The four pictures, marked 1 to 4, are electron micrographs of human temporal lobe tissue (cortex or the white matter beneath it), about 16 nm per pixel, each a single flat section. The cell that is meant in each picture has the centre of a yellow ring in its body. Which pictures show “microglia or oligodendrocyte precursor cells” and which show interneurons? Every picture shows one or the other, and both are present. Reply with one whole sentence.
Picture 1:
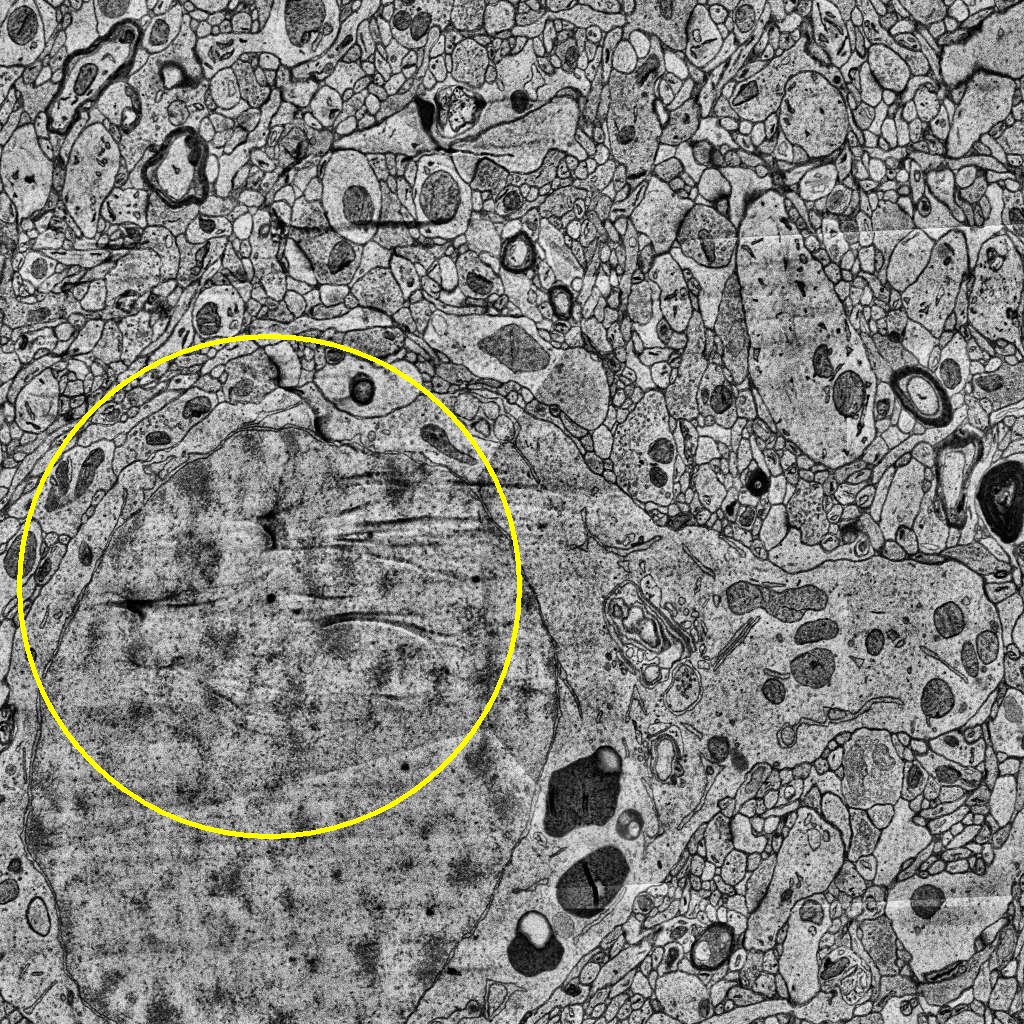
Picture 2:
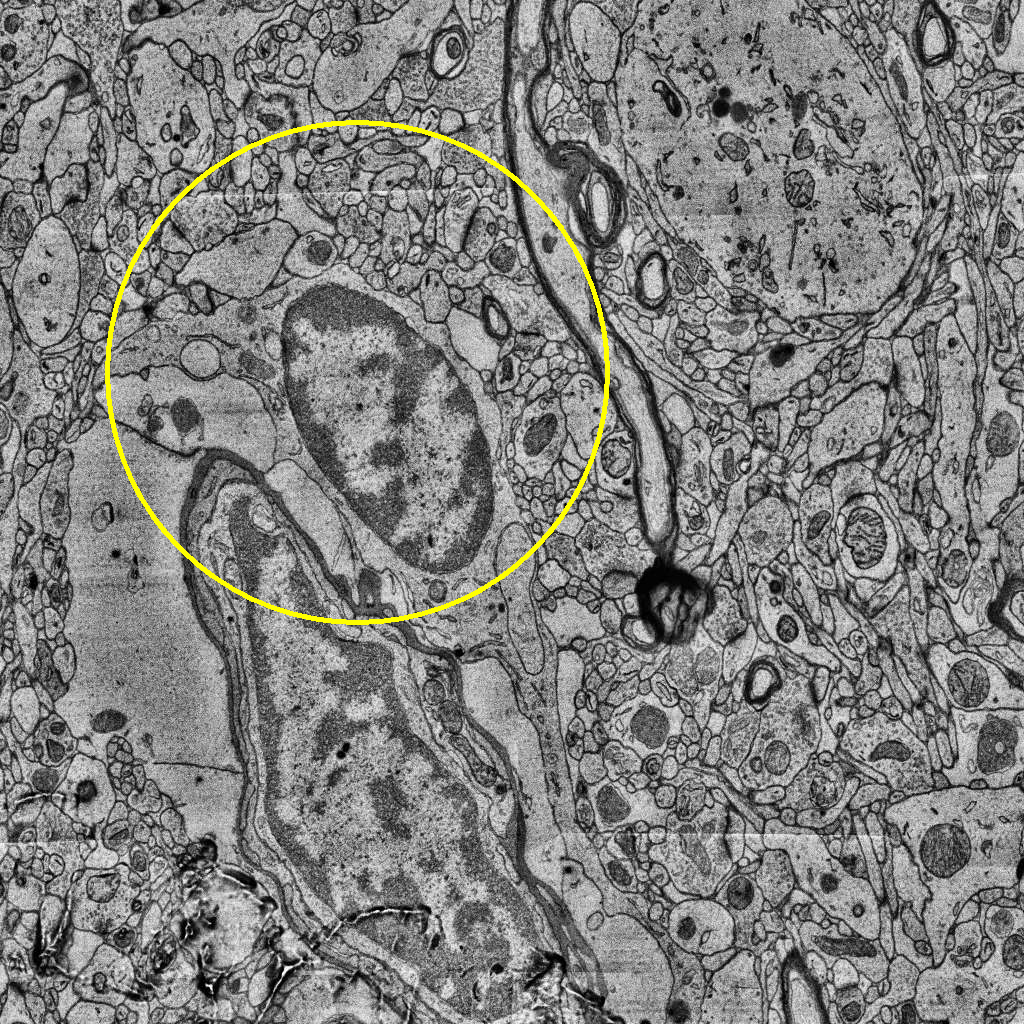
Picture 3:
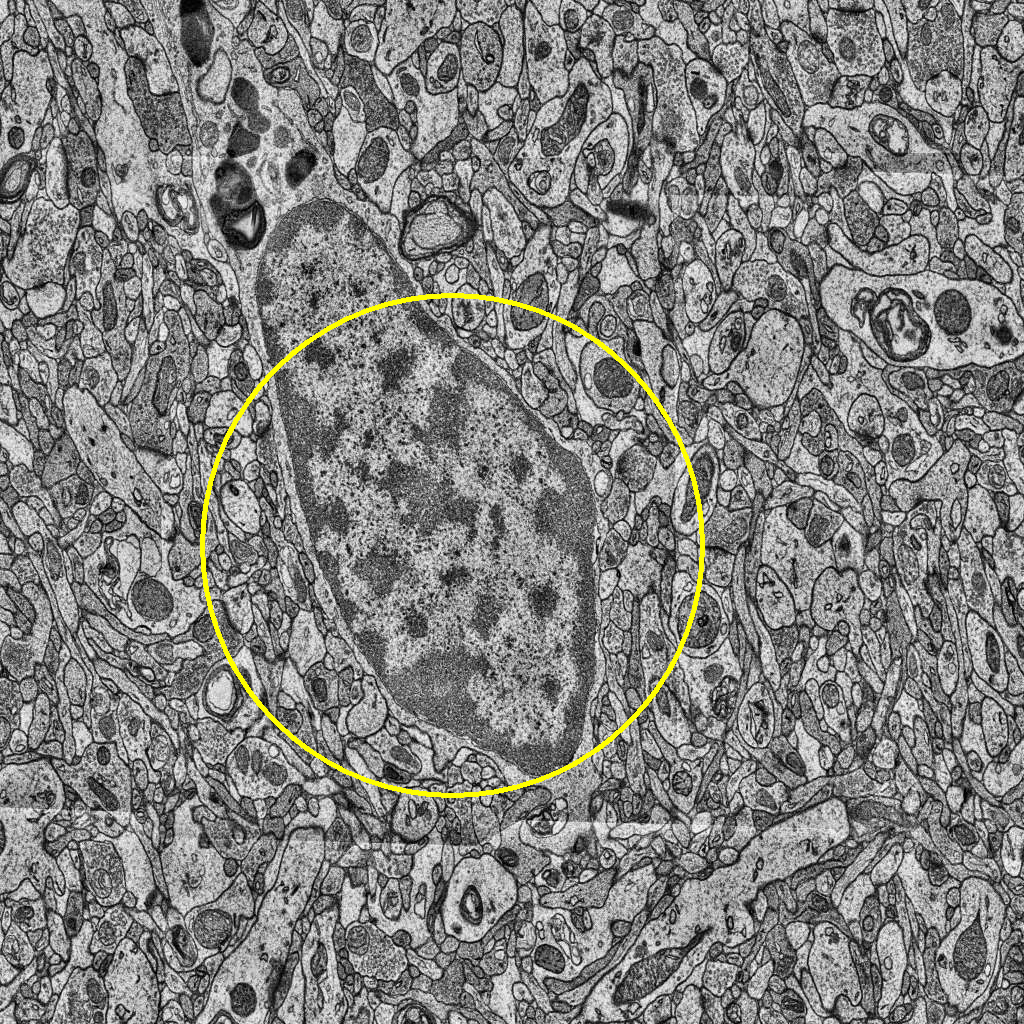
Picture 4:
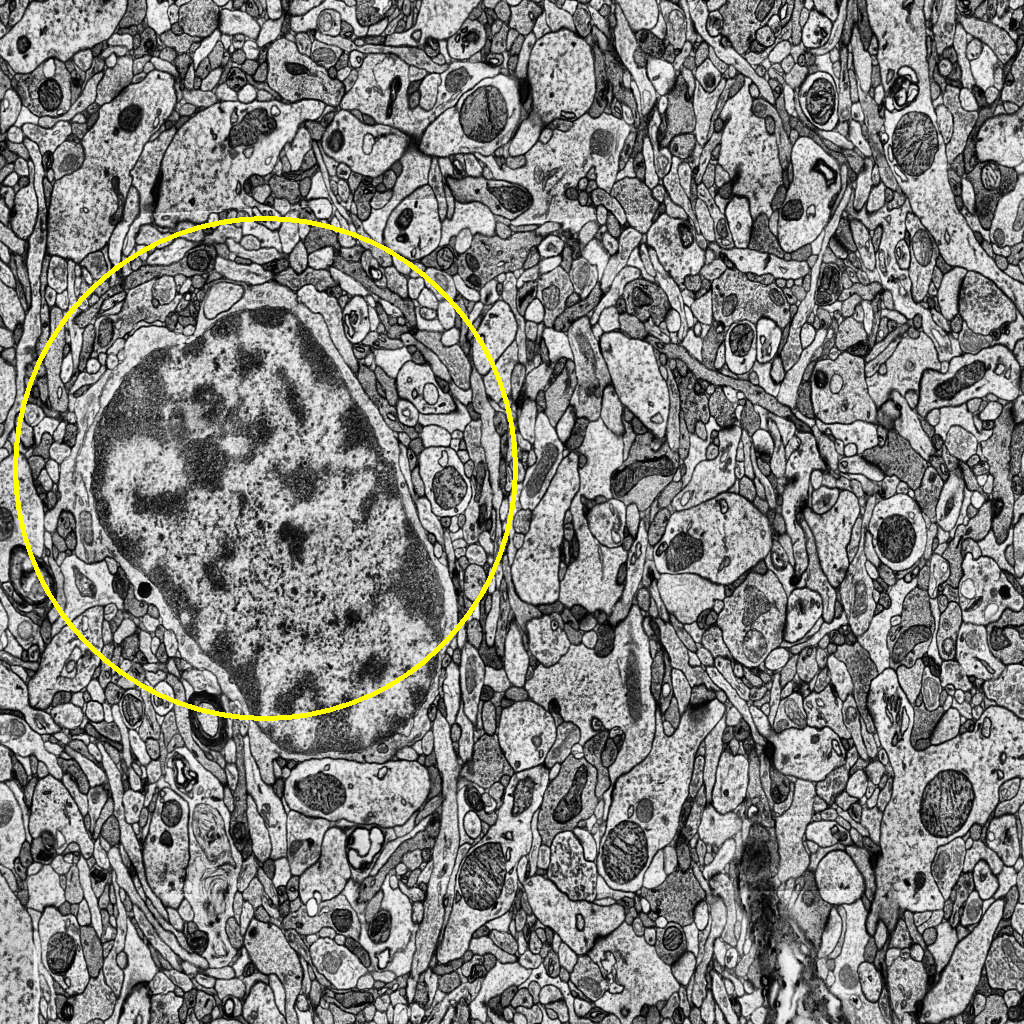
Pictures 2, 3 and 4 show “microglia or oligodendrocyte precursor cells”, and picture 1 shows an interneuron.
